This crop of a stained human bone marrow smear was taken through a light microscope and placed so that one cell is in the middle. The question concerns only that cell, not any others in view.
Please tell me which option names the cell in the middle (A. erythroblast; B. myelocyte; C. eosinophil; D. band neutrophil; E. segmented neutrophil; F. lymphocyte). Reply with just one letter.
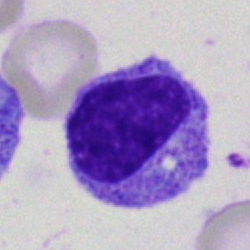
B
